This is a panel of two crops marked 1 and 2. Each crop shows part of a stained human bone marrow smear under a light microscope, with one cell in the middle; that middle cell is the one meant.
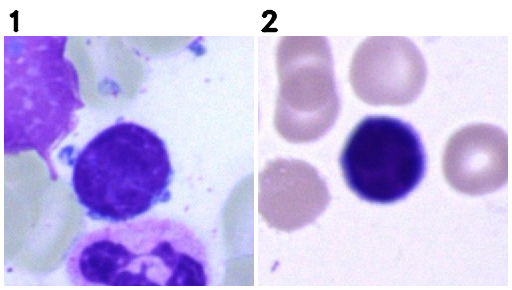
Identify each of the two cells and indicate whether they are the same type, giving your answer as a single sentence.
Yes, the cells placed at the centre of both crops are lymphocytes.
